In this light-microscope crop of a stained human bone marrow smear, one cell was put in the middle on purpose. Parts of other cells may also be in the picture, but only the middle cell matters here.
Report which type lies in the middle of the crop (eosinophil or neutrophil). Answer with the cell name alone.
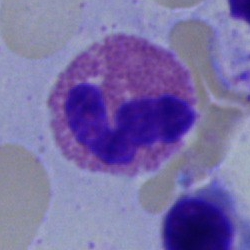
eosinophil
